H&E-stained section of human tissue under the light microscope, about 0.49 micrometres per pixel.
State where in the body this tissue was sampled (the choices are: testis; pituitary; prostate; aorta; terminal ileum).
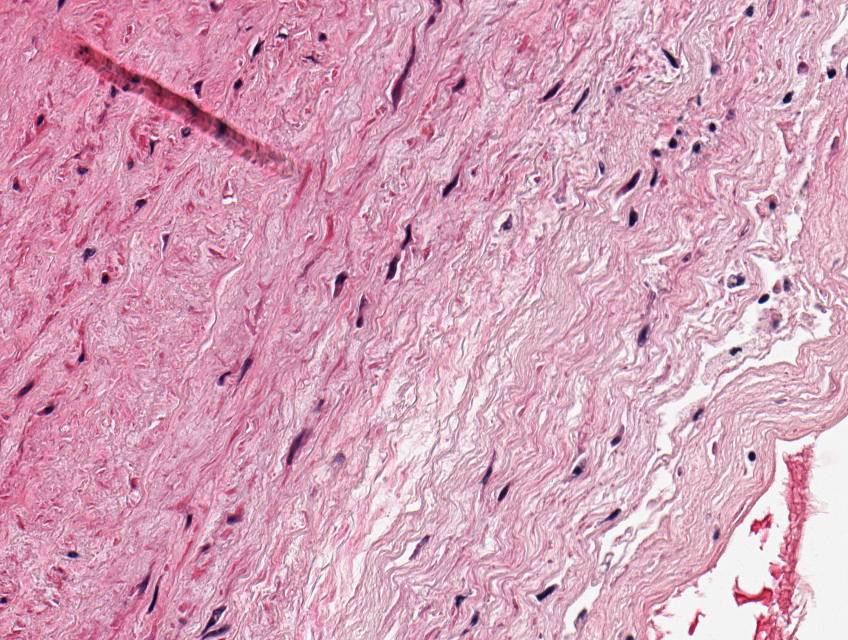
aorta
